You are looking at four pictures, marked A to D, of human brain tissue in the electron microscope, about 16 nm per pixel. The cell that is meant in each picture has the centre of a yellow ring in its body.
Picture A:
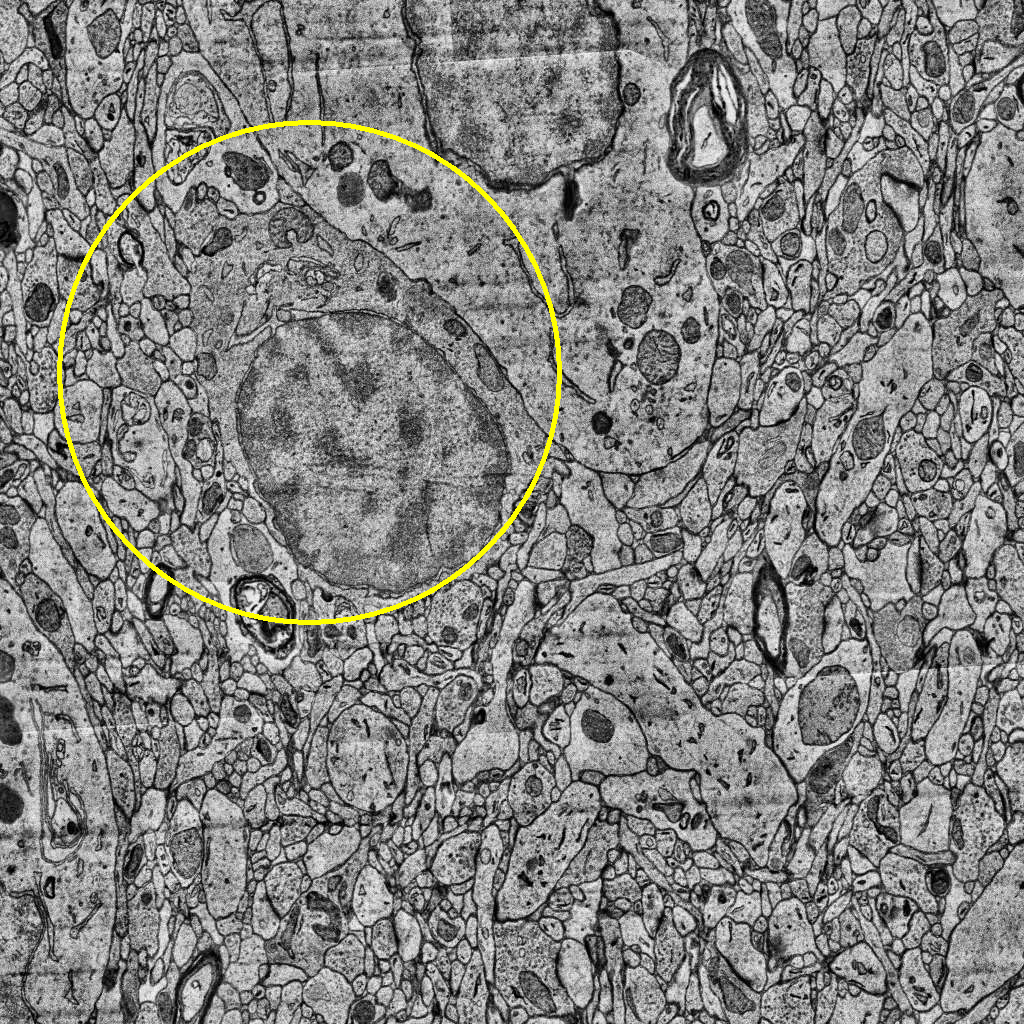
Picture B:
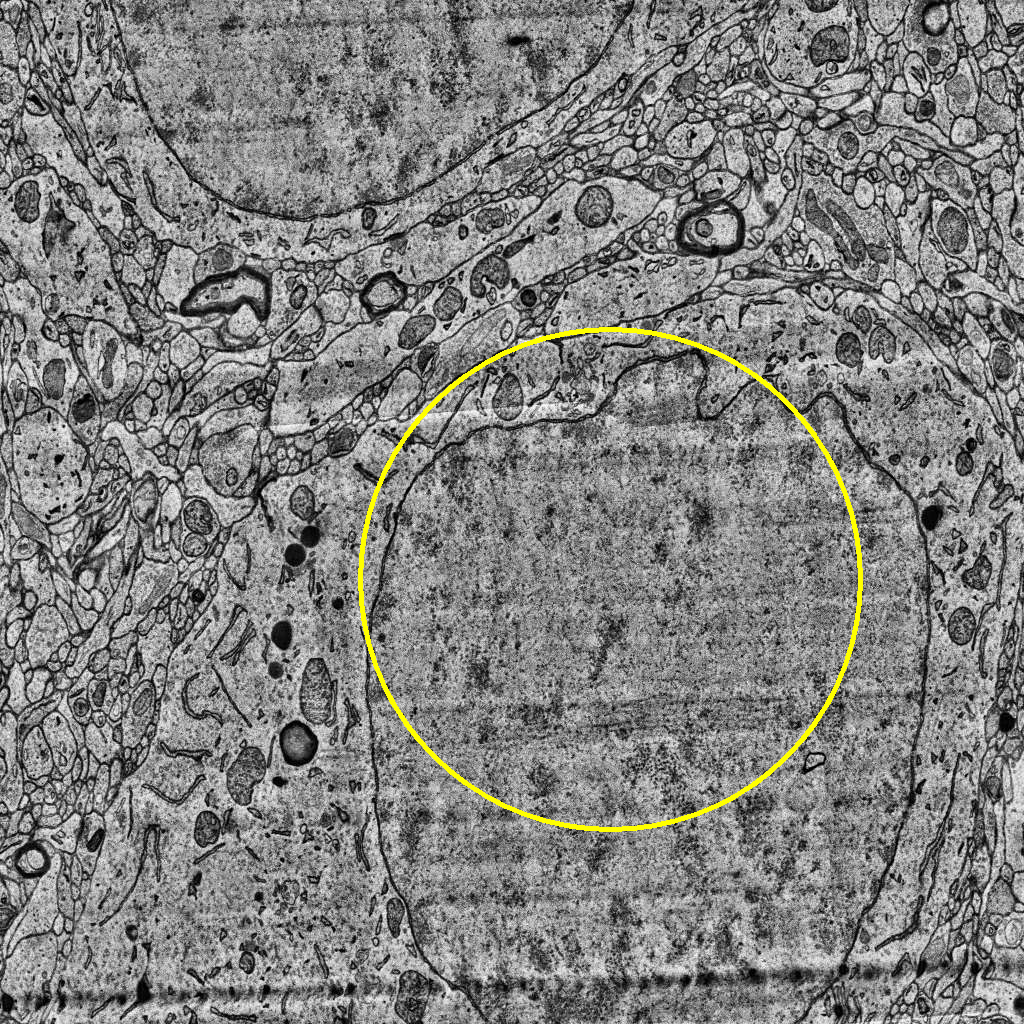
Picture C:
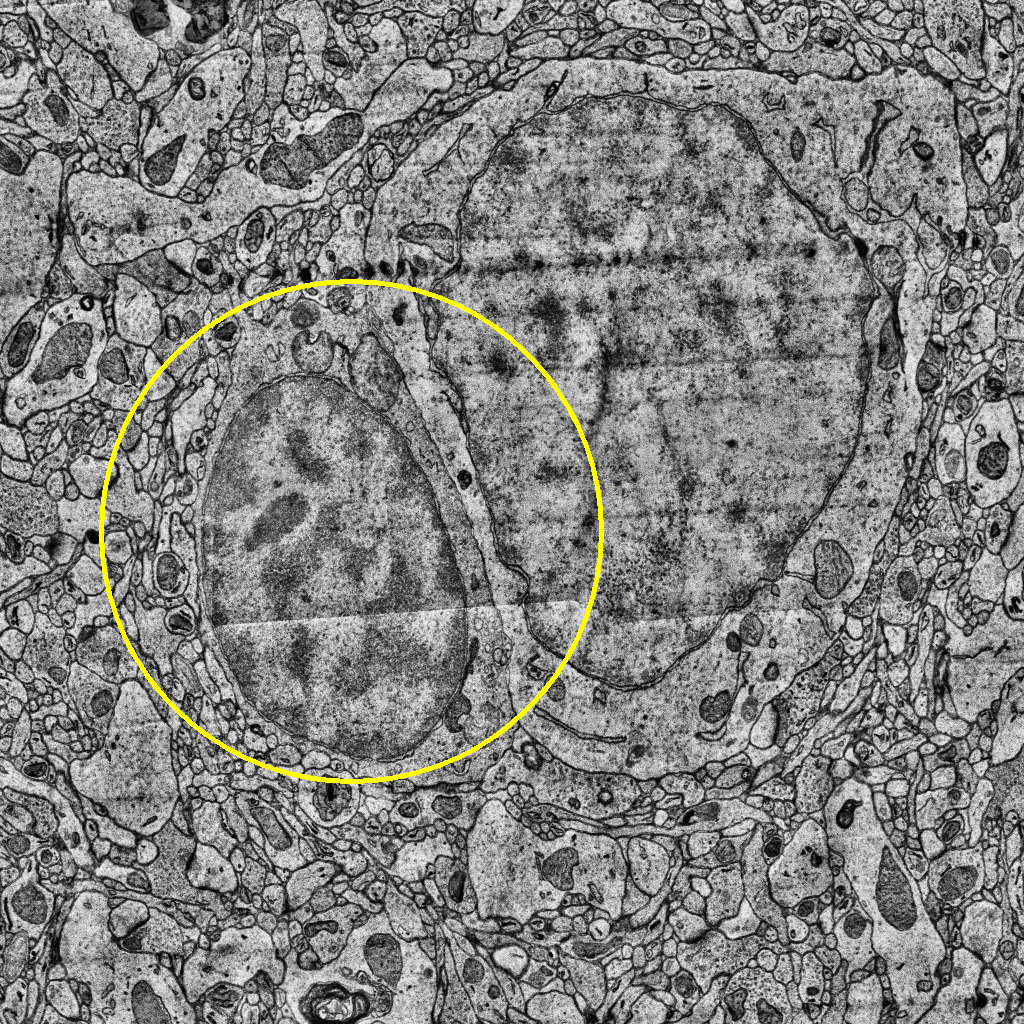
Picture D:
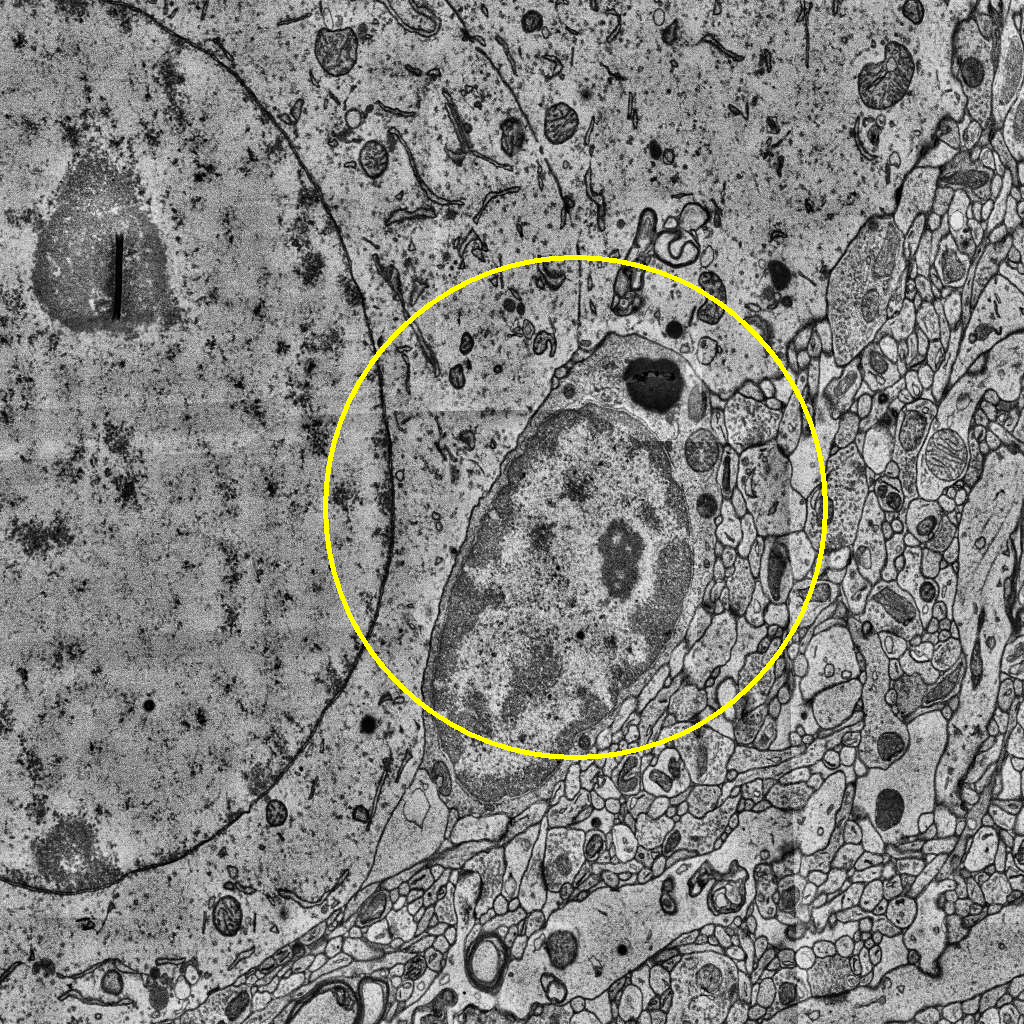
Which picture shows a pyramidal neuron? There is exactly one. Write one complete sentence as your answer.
It is picture B that shows the pyramidal neuron.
